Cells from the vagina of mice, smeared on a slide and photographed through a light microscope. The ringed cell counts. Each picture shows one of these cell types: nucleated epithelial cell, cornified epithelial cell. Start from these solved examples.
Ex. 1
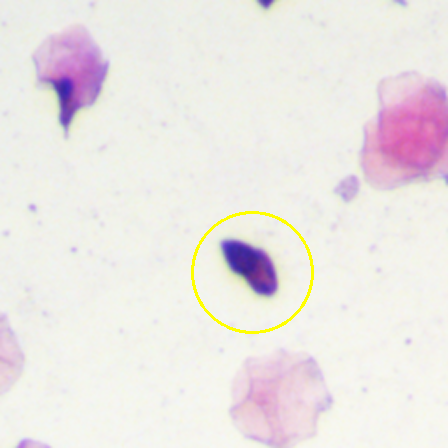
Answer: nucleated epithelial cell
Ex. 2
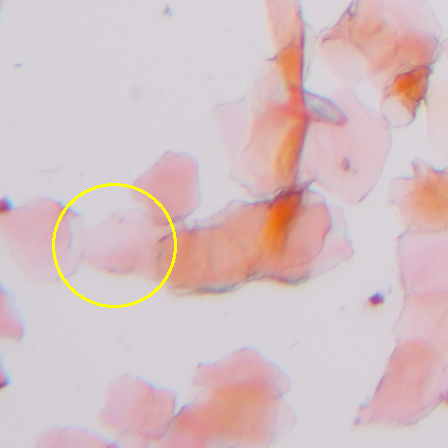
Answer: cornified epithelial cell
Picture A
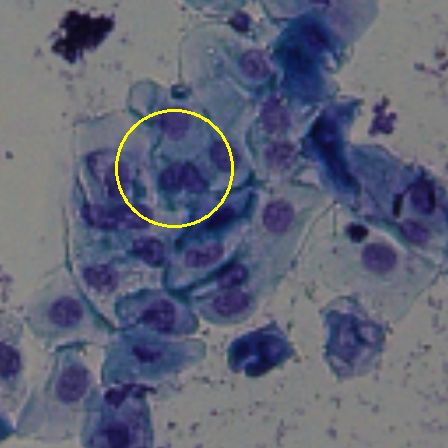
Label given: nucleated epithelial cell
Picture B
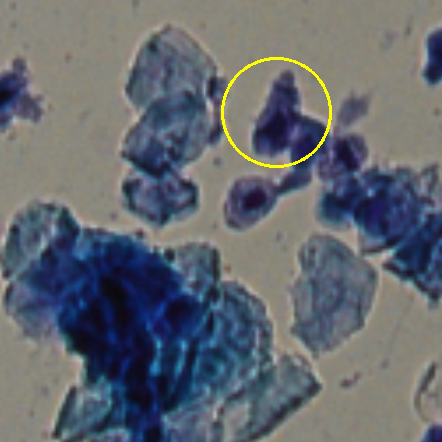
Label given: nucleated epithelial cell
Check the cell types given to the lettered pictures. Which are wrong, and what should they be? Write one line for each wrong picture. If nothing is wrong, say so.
No label is wrong.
